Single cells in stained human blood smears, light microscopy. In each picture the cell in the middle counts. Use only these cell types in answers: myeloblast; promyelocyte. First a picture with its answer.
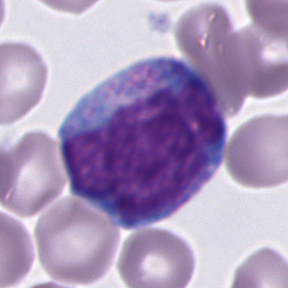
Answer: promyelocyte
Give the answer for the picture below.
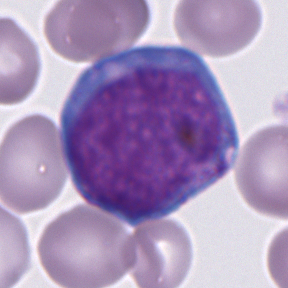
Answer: myeloblast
